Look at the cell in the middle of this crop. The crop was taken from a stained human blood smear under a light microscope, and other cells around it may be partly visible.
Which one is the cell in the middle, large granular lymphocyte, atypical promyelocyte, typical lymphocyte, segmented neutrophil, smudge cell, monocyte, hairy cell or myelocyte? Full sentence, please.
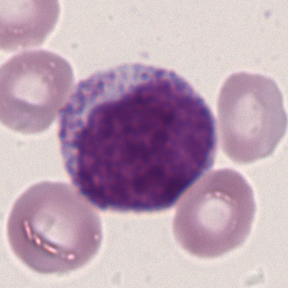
The central cell, amid any neighbouring cells, is a myelocyte.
